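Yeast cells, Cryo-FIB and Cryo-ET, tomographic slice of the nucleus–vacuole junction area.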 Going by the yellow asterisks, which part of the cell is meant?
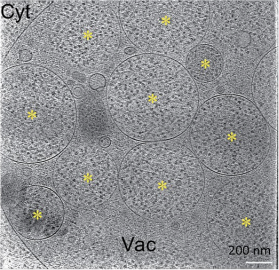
Single-membrane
